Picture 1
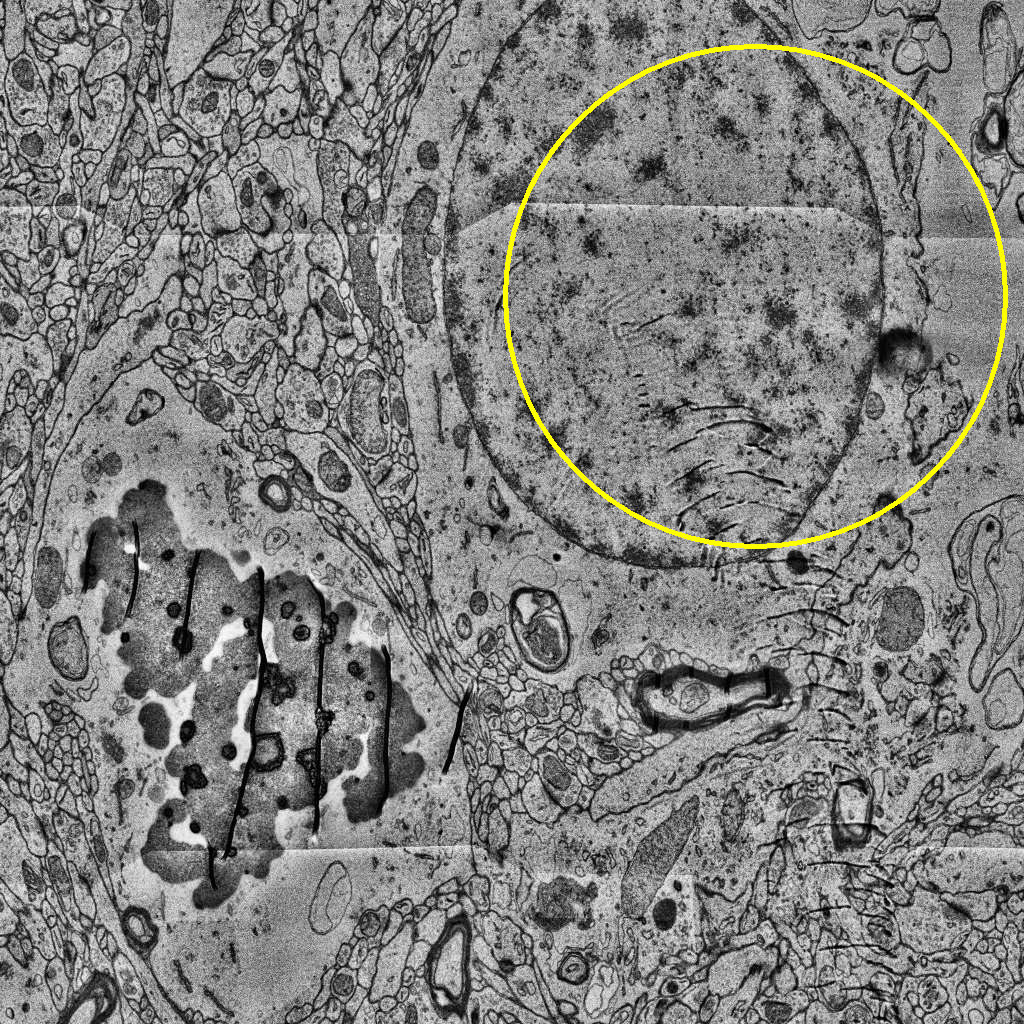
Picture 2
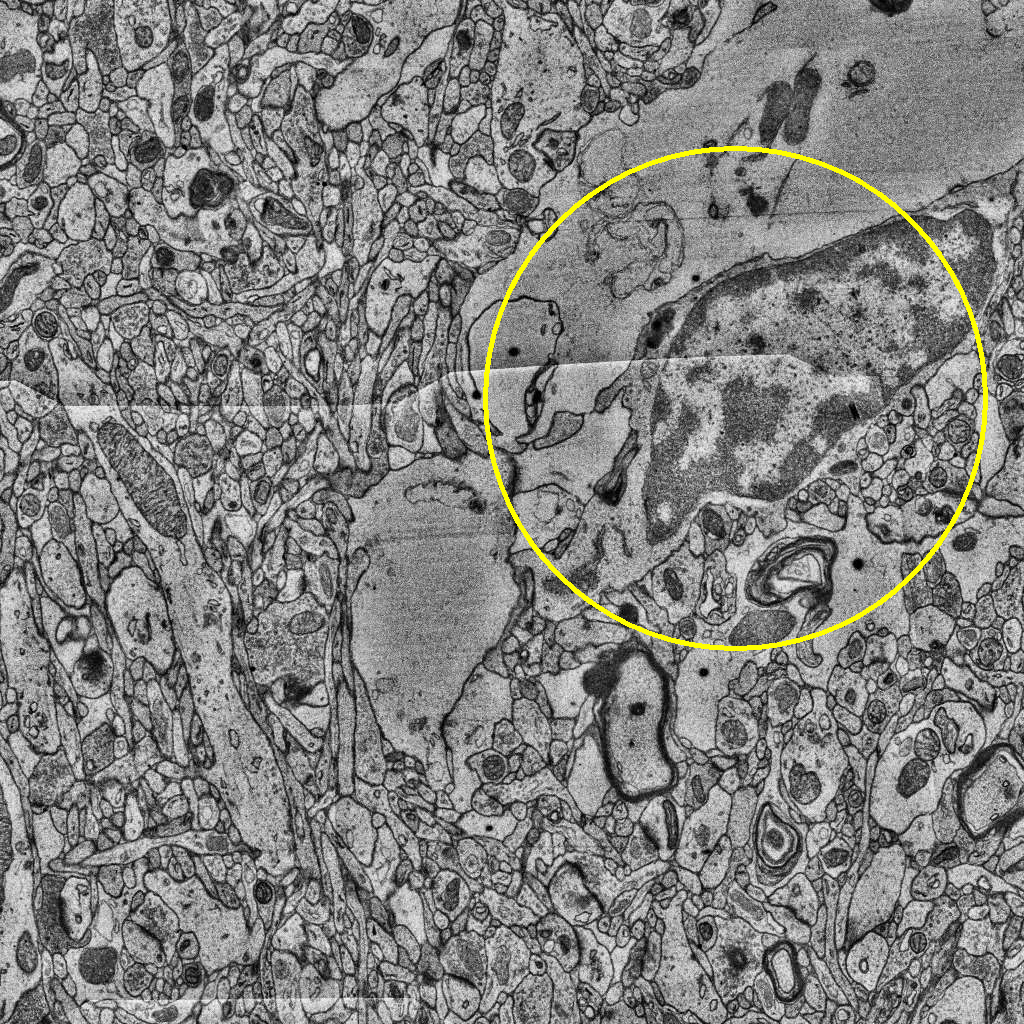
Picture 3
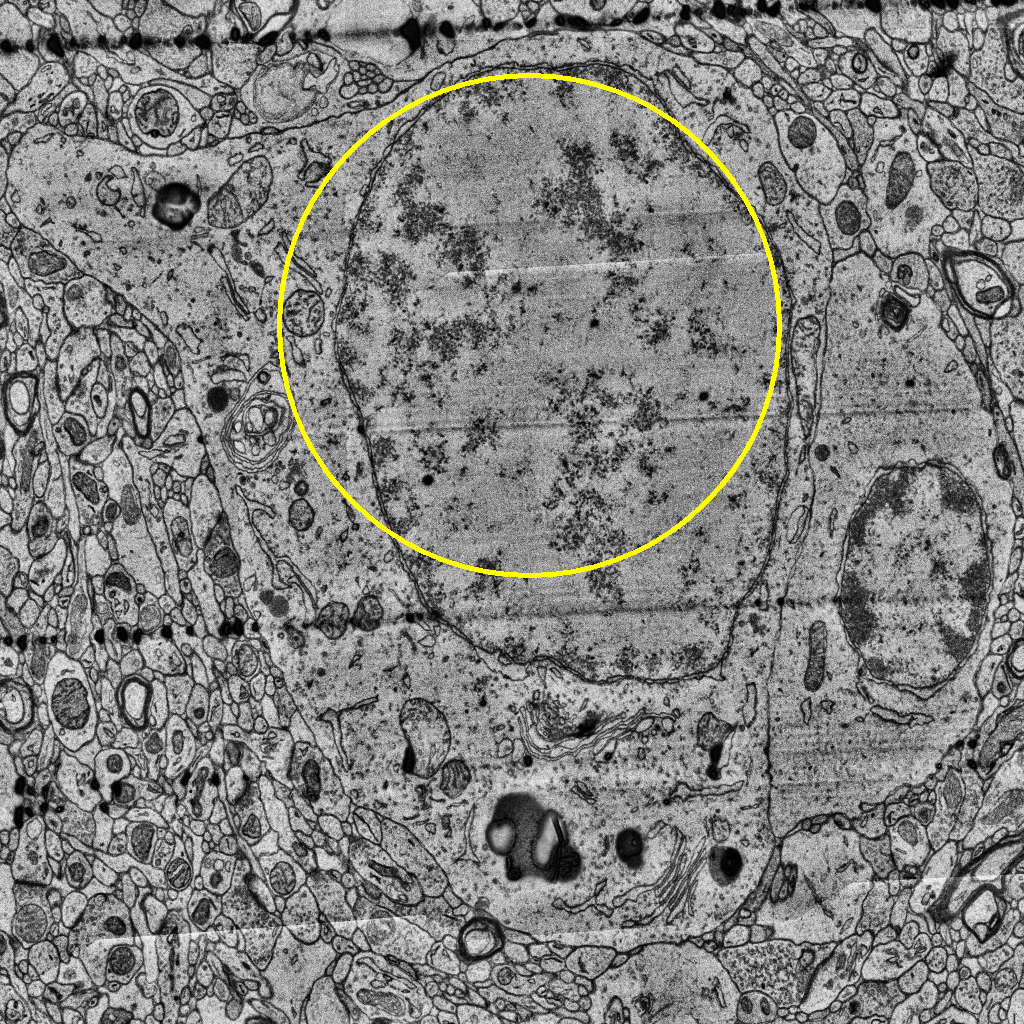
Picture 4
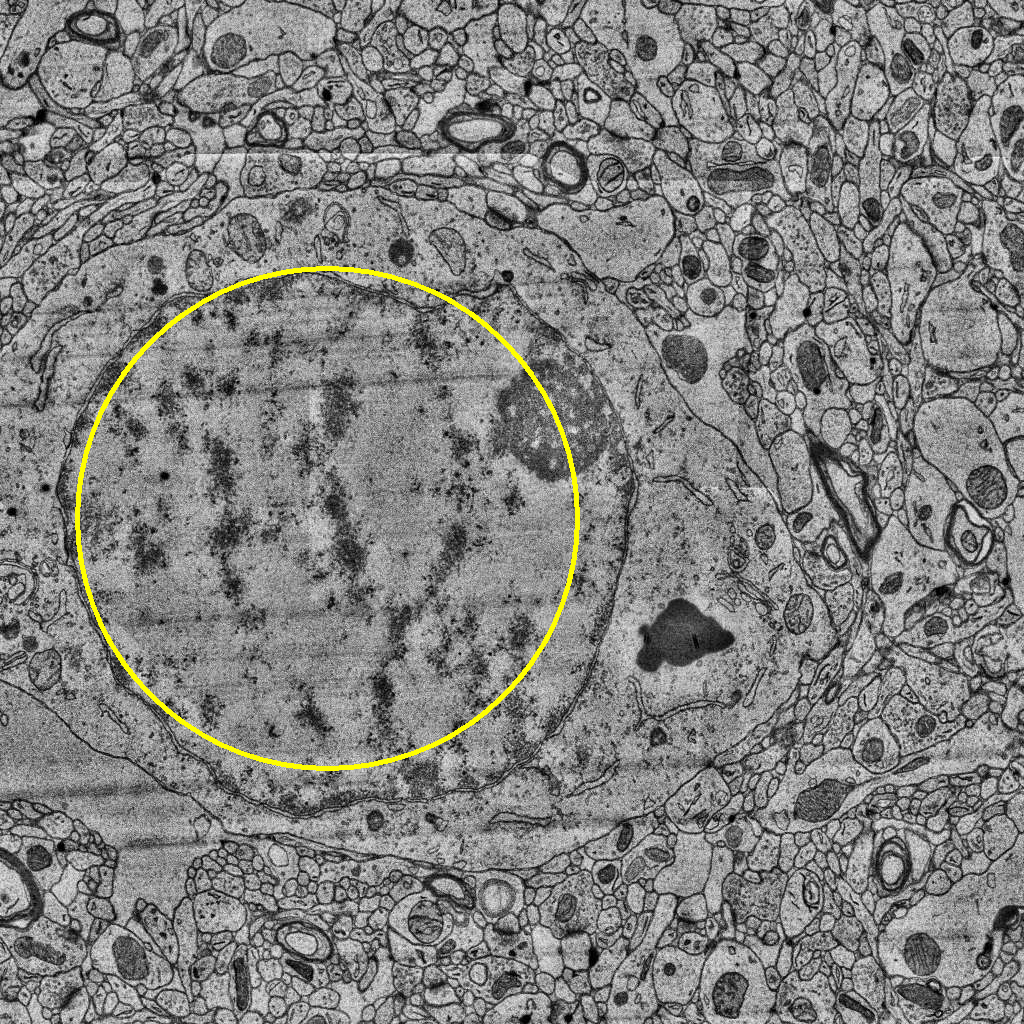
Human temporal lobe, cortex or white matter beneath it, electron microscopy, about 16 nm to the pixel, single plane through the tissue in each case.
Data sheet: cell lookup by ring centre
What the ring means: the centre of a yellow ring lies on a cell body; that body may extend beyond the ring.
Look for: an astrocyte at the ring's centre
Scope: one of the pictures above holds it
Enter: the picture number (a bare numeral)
1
